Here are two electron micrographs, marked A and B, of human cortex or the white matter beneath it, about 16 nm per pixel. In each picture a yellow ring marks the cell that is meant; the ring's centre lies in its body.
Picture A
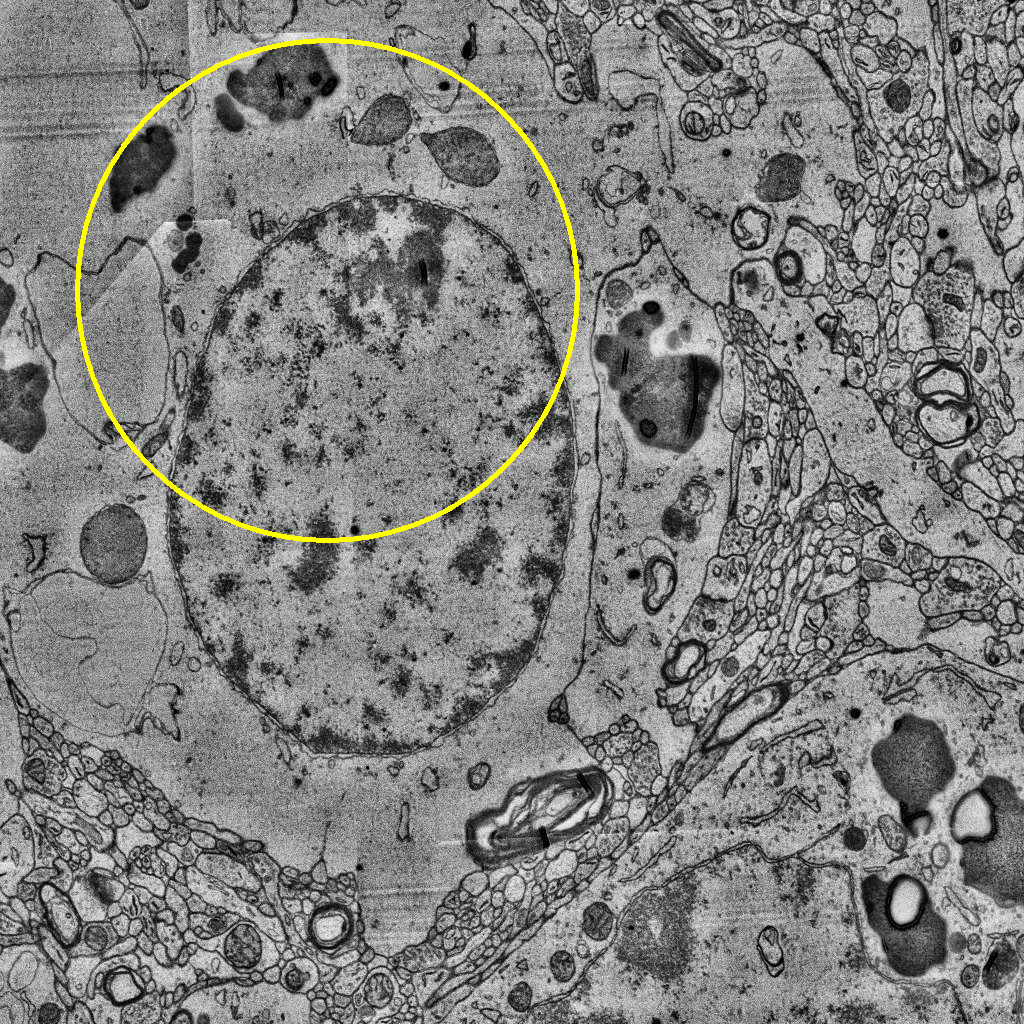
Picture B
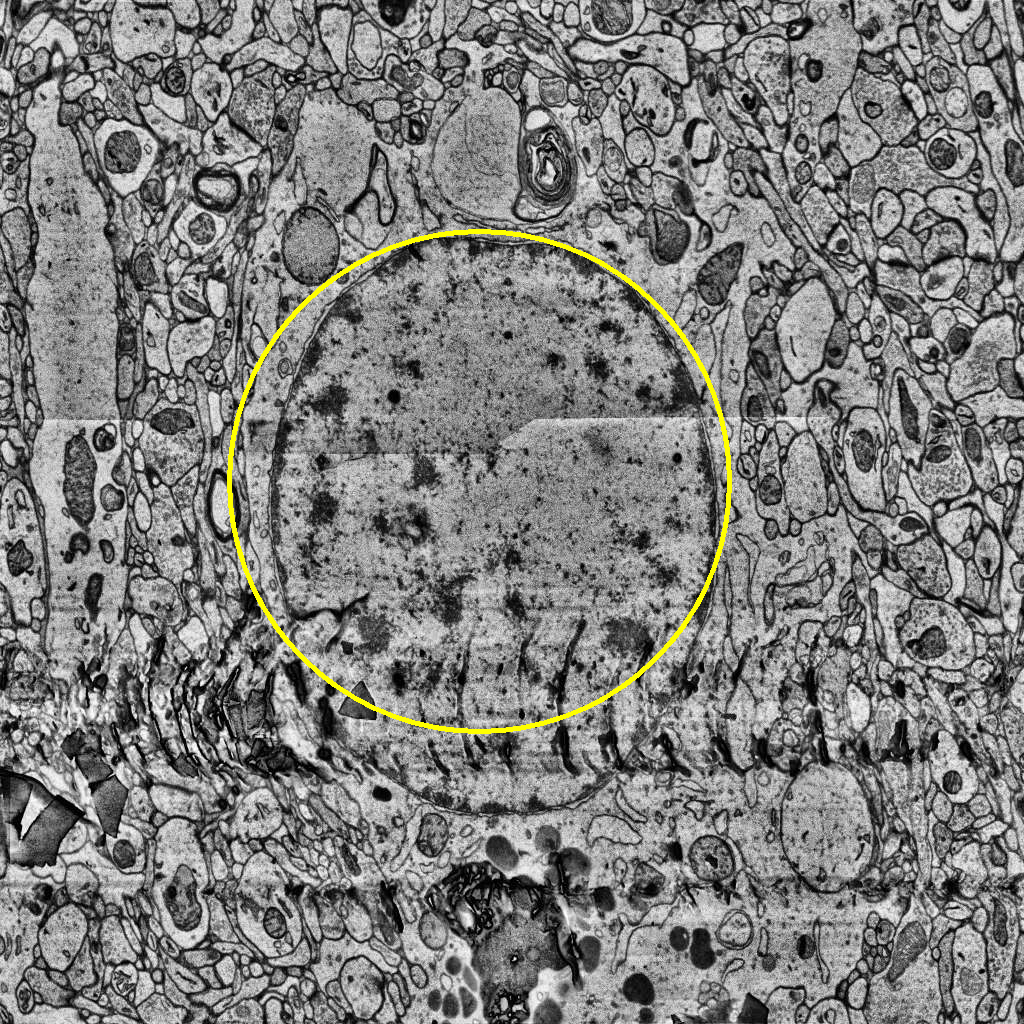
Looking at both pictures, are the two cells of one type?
Yes, both are astrocytes.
